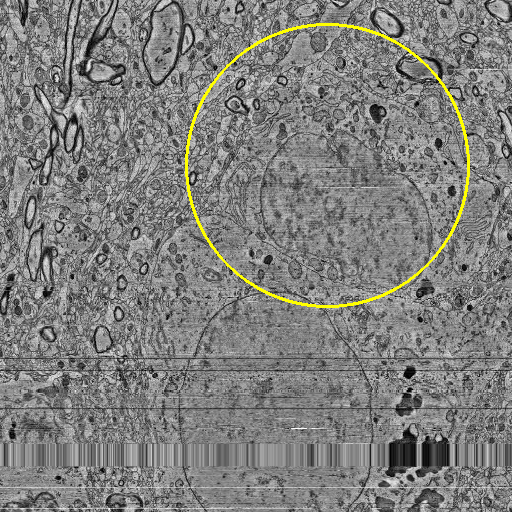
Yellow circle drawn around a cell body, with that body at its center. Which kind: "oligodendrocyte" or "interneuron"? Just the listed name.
interneuron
